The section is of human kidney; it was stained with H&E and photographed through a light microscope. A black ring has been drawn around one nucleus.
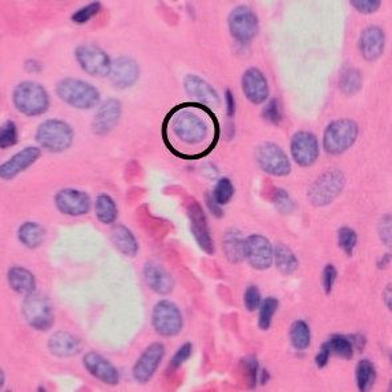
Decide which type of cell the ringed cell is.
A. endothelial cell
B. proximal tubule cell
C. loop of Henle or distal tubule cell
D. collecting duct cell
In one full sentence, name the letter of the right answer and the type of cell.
Option D is accurate, for the ringed cell is a collecting duct cell.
